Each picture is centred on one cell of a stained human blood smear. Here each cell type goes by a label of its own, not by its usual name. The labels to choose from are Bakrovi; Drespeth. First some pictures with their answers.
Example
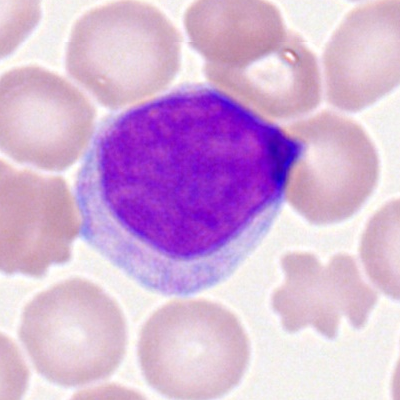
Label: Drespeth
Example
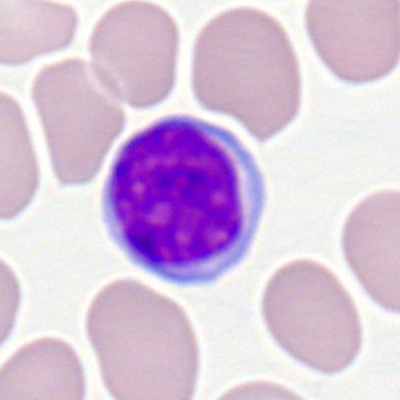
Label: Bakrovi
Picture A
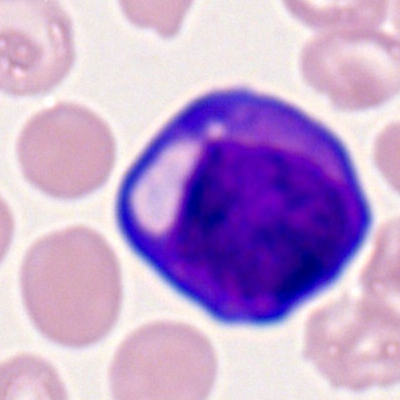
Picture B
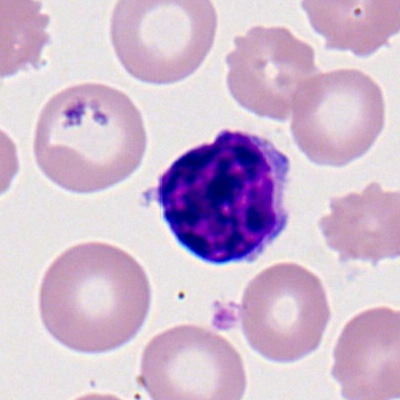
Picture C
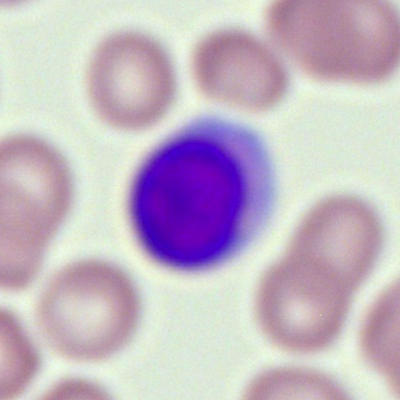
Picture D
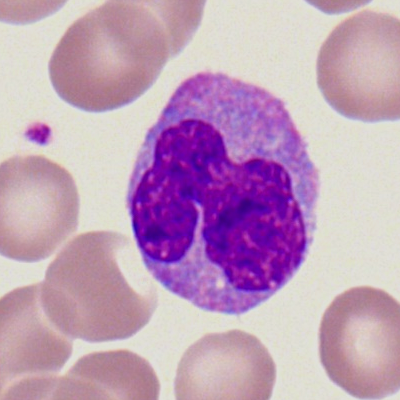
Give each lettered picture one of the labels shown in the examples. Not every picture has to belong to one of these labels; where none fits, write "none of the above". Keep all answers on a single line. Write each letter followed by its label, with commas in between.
A Drespeth, B Bakrovi, C Bakrovi, D none of the above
